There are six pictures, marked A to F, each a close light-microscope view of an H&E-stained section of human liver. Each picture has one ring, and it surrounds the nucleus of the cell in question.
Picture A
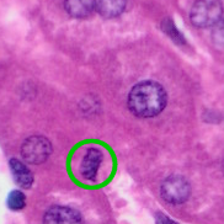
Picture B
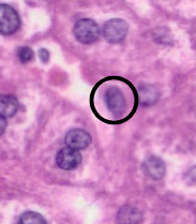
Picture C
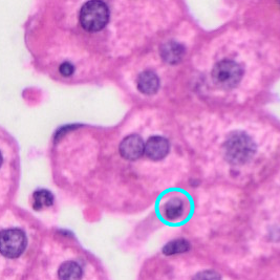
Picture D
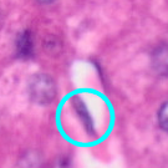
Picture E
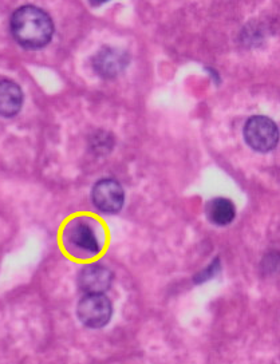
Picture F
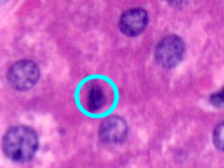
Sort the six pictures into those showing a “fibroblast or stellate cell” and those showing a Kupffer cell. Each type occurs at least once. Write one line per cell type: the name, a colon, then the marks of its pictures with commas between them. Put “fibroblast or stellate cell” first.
fibroblast or stellate cell: A, E, F
Kupffer cell: B, C, D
